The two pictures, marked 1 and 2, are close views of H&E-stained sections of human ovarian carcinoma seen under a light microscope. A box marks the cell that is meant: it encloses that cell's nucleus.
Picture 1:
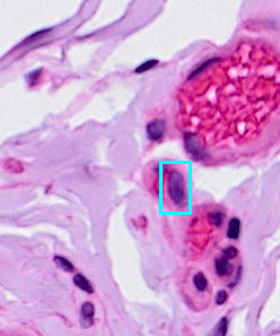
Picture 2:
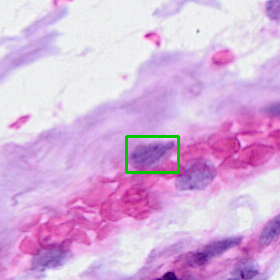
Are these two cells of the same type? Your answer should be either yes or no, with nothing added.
yes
